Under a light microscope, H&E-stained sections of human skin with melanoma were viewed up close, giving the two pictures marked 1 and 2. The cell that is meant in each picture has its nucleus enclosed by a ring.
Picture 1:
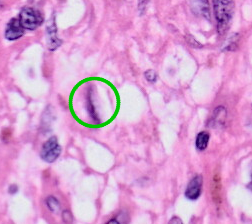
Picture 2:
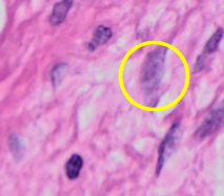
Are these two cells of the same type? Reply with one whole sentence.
Yes, they are the same type: both are “fibroblasts or myofibroblasts”.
